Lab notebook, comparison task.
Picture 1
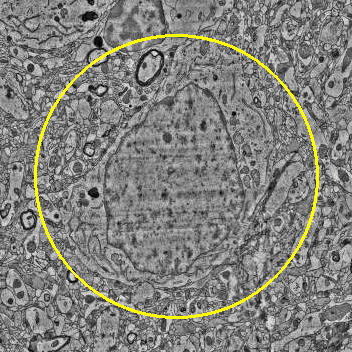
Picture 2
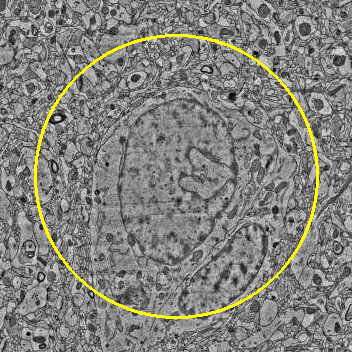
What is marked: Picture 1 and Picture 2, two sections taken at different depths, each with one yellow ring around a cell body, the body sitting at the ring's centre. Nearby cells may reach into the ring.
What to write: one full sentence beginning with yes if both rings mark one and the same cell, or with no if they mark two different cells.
No, the two rings are not on the same cell.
